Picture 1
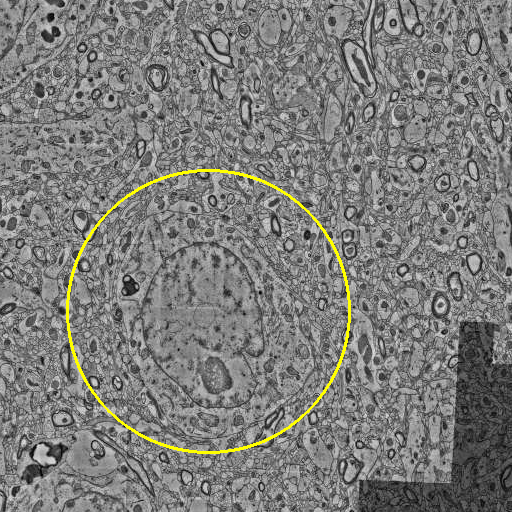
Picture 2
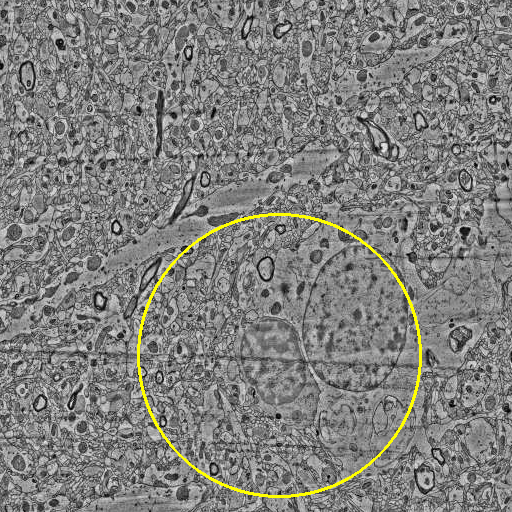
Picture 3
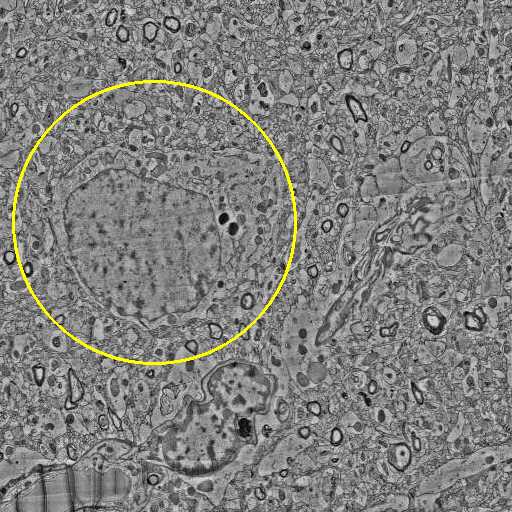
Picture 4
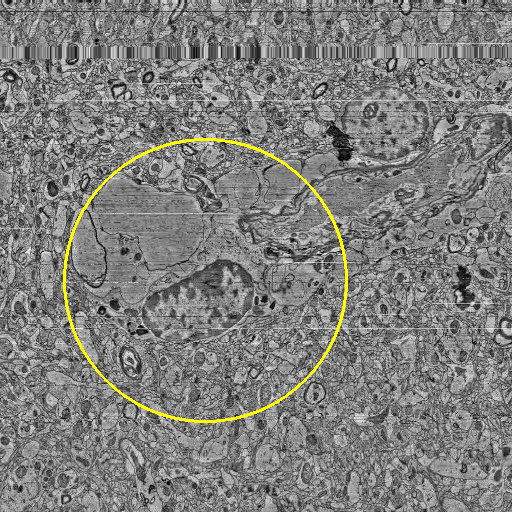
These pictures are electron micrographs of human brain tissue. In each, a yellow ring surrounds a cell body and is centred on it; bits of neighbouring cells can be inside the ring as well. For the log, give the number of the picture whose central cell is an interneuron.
3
